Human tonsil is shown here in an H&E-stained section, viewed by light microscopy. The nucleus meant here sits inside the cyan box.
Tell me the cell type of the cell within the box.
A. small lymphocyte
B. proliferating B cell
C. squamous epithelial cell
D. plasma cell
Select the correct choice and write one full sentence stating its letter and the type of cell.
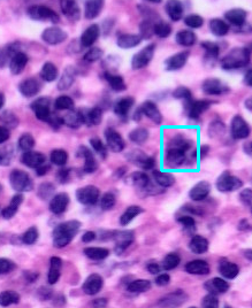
As stated in option B, the cell within the box is a proliferating B cell.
